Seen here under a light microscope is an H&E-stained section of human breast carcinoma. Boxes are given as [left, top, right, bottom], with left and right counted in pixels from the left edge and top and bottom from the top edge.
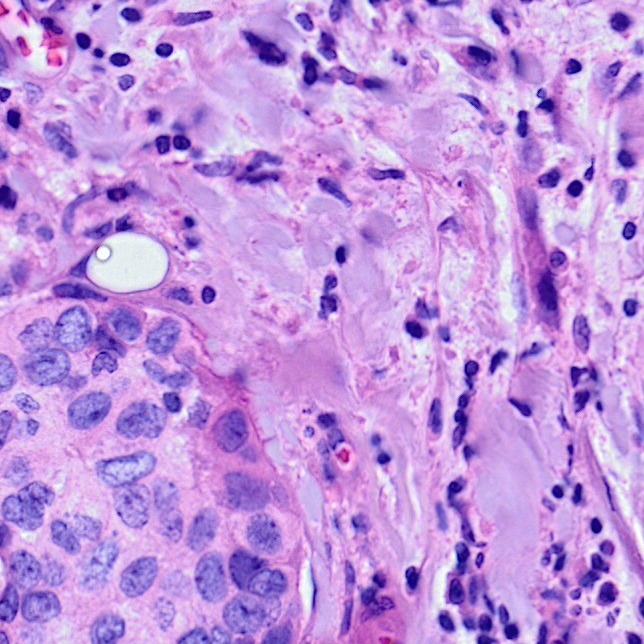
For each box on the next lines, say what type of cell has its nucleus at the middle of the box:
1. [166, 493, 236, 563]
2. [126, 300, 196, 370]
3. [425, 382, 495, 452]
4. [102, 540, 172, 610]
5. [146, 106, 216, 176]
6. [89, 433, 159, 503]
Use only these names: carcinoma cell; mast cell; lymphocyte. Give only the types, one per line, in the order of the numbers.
carcinoma cell
carcinoma cell
lymphocyte
carcinoma cell
lymphocyte
carcinoma cell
